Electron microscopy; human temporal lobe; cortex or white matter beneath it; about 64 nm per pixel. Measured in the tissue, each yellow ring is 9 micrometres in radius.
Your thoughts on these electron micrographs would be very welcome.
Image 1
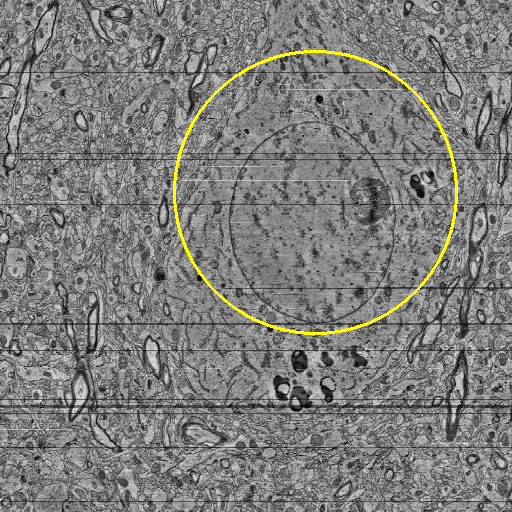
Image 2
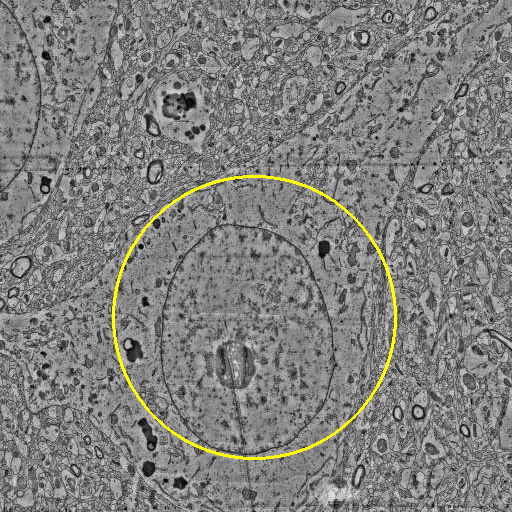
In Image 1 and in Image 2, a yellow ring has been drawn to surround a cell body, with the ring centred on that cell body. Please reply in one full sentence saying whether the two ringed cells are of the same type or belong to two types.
The ringed cells in Image 1 and Image 2 are of the same type.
